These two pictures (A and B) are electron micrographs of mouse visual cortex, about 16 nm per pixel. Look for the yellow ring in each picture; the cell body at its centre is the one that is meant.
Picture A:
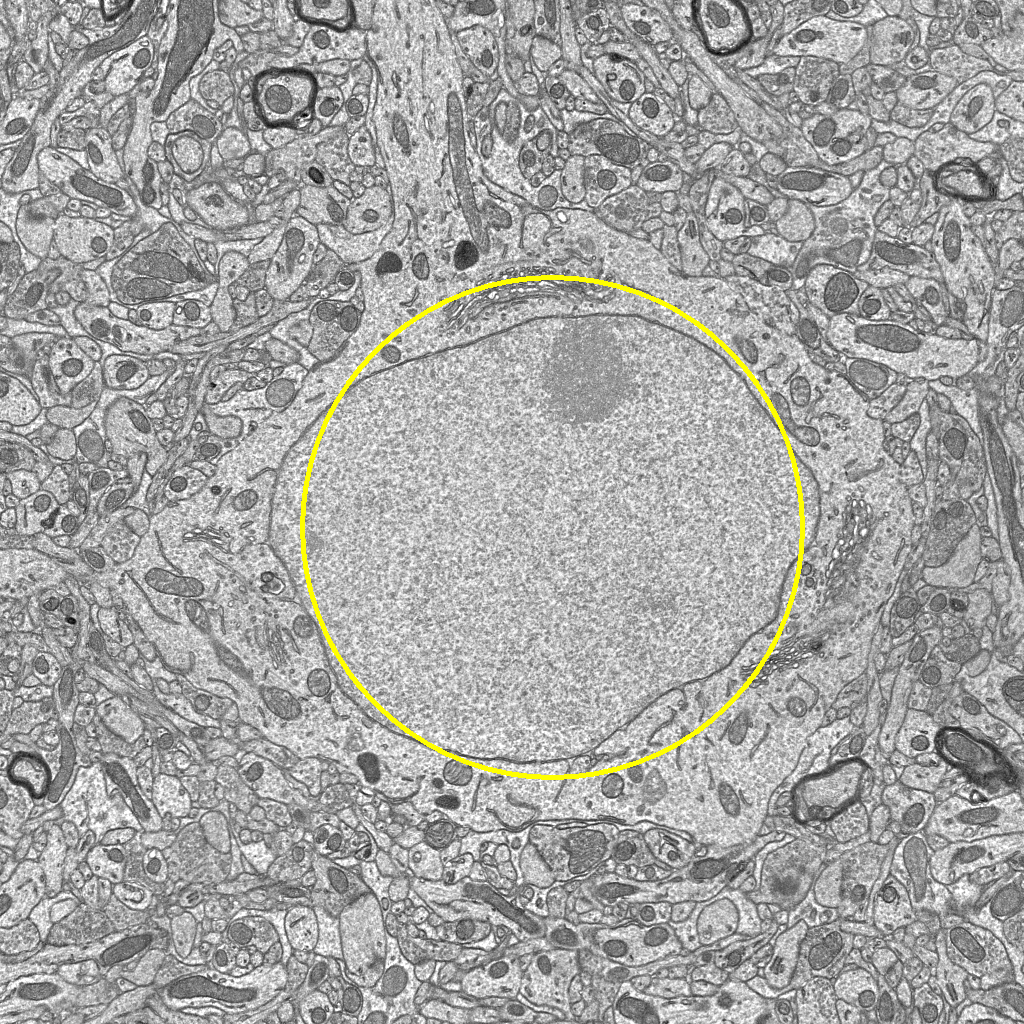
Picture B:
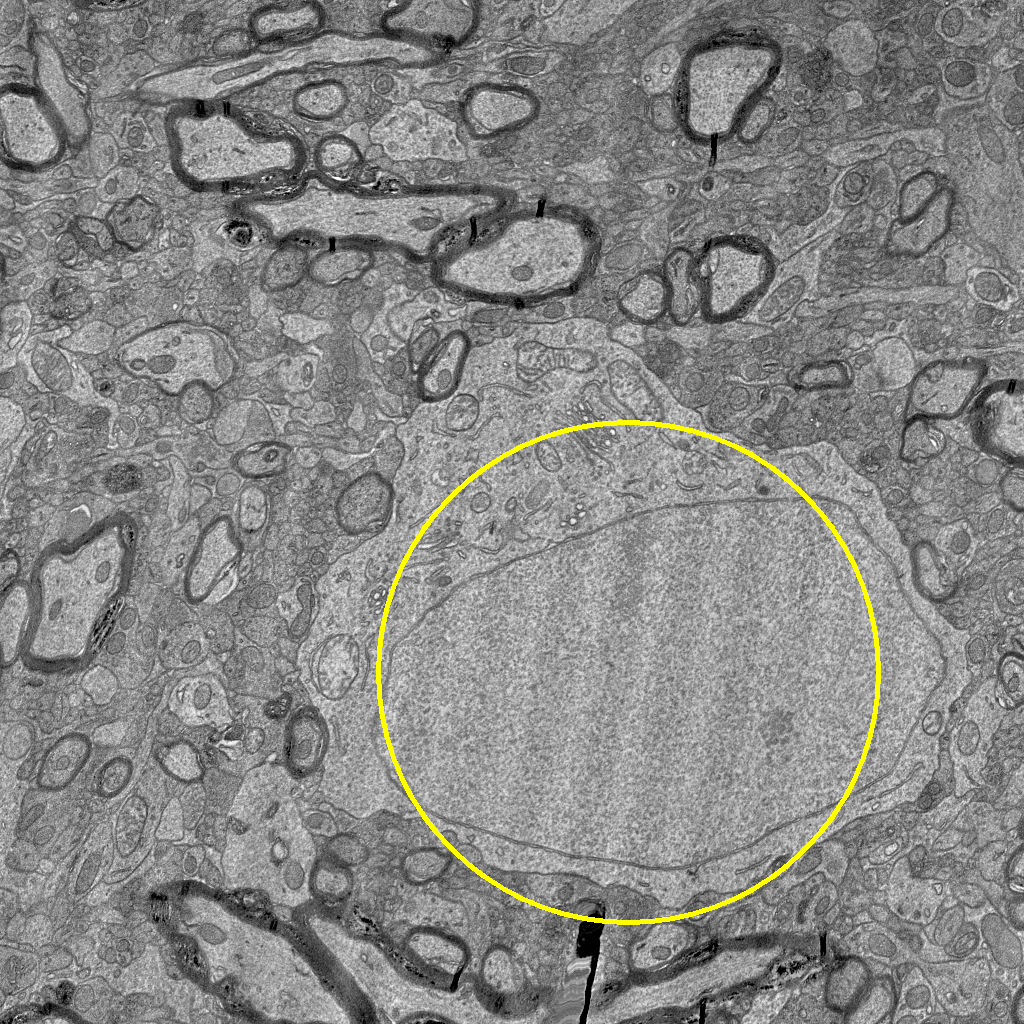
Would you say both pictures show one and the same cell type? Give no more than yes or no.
yes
